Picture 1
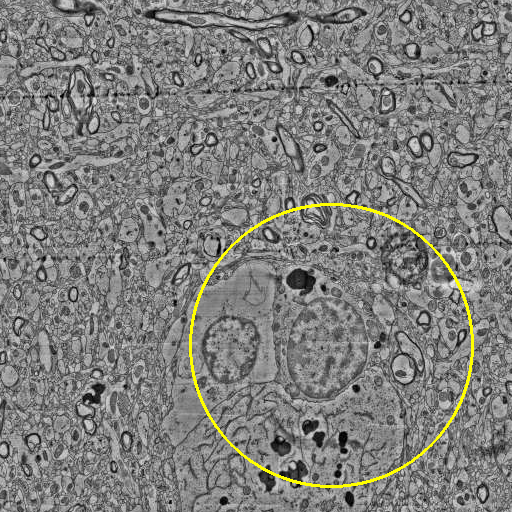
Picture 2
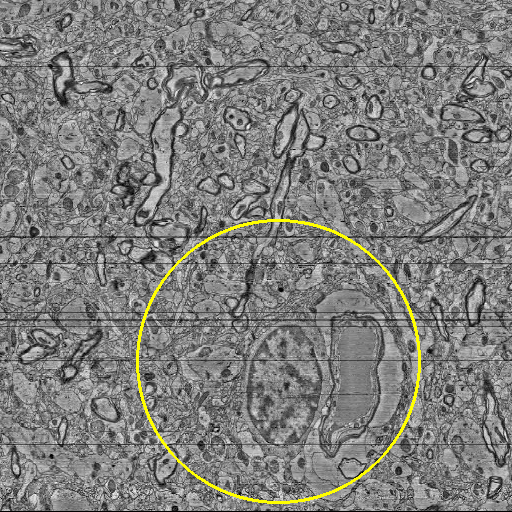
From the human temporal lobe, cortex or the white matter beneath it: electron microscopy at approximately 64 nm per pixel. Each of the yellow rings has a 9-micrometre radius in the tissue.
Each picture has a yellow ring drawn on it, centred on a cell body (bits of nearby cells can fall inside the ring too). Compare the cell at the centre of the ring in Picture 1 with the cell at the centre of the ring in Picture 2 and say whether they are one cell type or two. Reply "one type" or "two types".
one type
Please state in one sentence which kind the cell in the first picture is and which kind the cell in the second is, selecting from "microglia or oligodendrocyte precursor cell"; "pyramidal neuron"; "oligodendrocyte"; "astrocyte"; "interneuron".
In each of the two pictures, the ringed cell is an oligodendrocyte.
